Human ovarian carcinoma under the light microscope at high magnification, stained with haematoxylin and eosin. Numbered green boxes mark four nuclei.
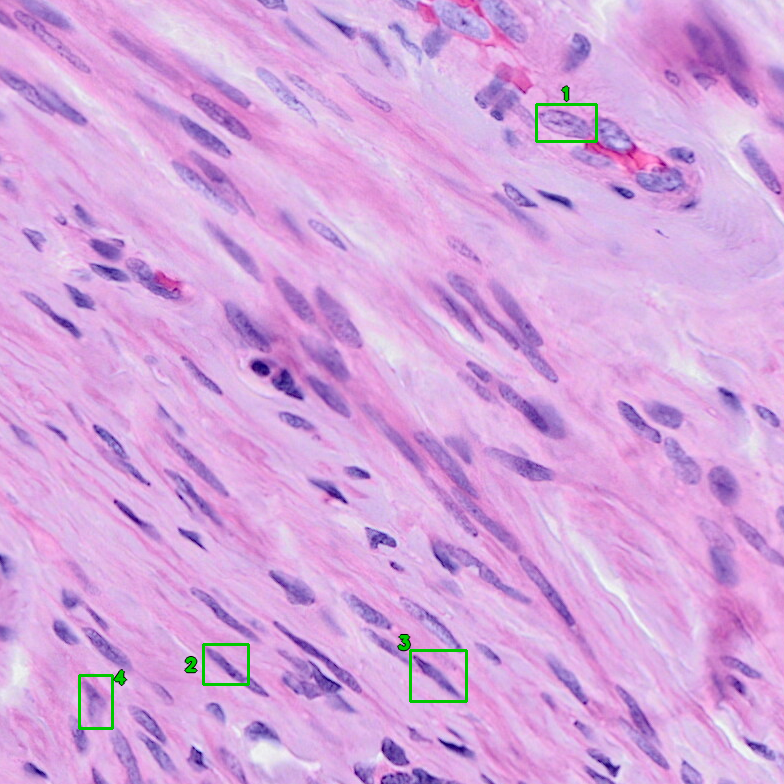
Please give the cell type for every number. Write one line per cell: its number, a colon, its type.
1: endothelial cell
2: smooth muscle cell
3: smooth muscle cell
4: smooth muscle cell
